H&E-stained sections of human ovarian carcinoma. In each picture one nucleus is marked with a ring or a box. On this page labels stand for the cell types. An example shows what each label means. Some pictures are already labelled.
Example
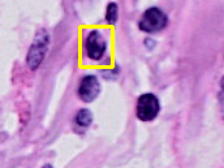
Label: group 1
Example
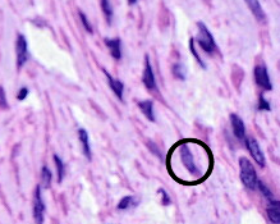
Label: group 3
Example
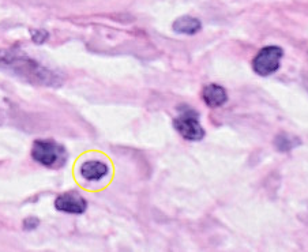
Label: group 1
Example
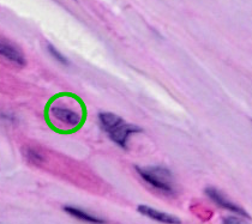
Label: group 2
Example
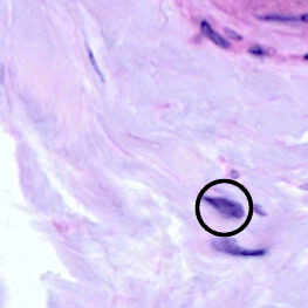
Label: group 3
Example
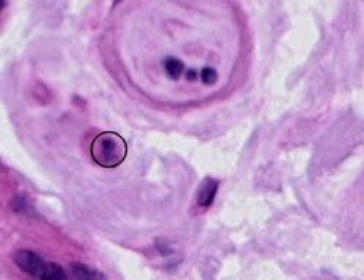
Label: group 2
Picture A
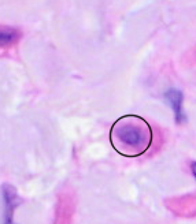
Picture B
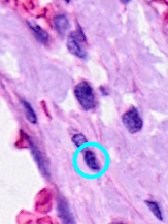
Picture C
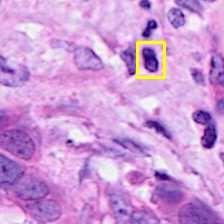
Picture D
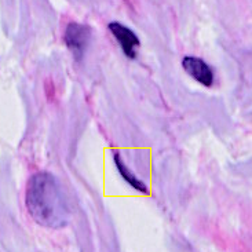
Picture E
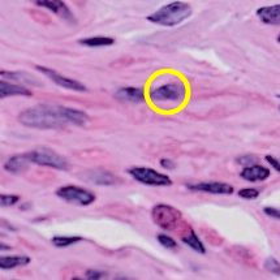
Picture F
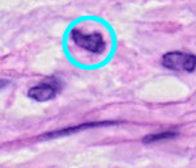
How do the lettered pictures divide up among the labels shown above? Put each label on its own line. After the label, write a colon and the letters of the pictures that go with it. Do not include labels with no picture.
group 1: B, C, F
group 3: D
group 2: A, E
